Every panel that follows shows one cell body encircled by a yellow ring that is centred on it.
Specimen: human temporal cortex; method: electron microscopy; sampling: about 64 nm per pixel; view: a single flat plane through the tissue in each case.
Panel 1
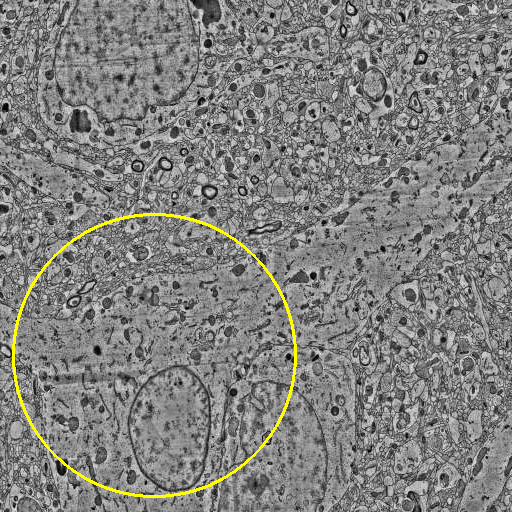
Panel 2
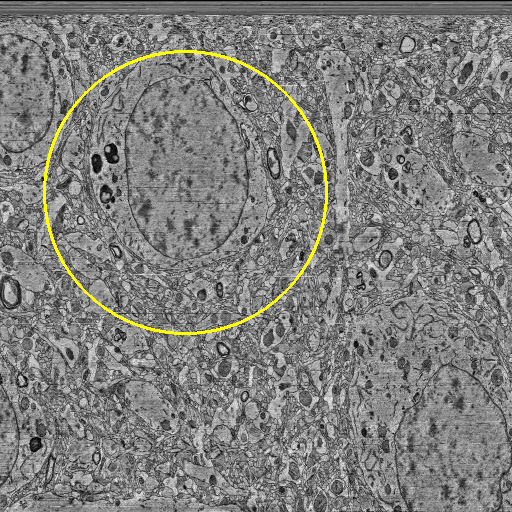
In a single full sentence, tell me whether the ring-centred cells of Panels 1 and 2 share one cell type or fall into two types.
In Panel 1 and Panel 2, the cells at the ring centres share one cell type.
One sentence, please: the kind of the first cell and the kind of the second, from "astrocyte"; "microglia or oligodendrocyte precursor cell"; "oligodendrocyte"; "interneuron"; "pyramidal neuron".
The ring centre holds a pyramidal neuron in each of the two pictures.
